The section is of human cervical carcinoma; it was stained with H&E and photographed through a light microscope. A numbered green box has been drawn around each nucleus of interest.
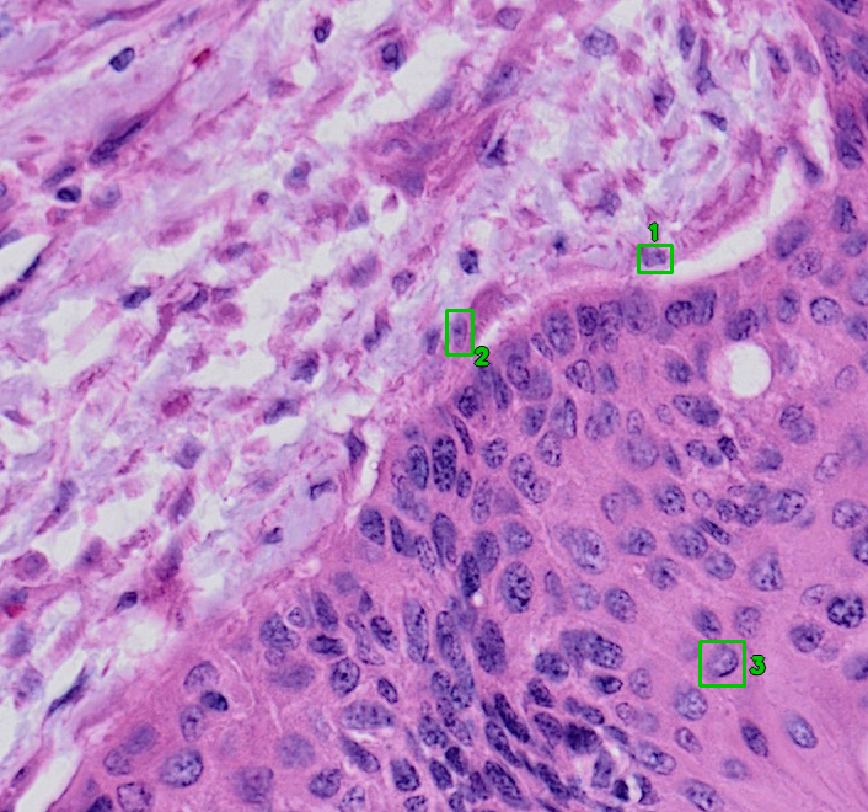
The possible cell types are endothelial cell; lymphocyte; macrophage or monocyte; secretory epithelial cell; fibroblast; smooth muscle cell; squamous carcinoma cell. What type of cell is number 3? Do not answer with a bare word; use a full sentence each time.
The cell pointed out as number 3 is a squamous carcinoma cell.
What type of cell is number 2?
The cell that goes by number 2 is a fibroblast.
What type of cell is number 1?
The cell that bears the number 1 is a fibroblast.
